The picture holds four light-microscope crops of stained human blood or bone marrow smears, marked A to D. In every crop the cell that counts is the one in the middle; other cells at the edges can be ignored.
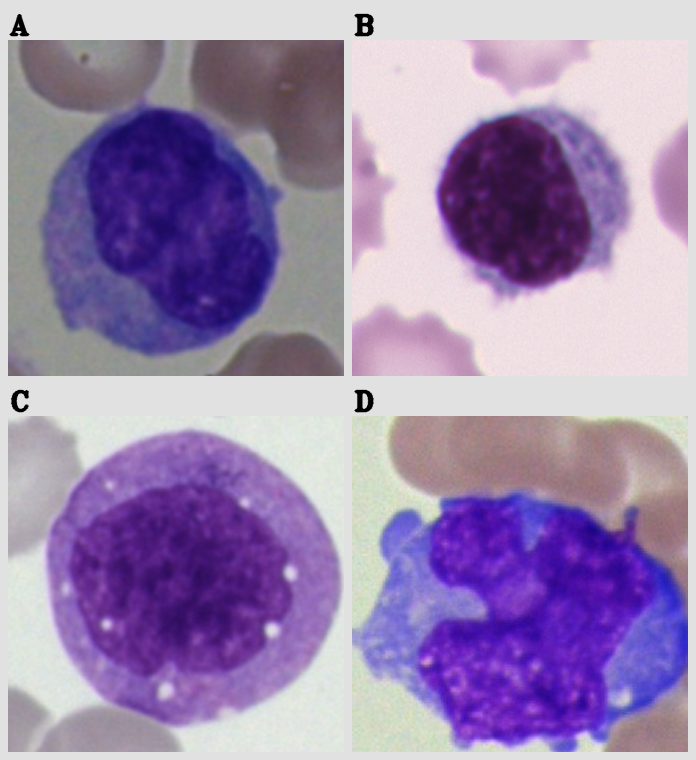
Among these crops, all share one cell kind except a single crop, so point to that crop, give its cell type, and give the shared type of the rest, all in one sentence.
The exception is crop B: it is a hairy cell, and the others are all monocytes.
